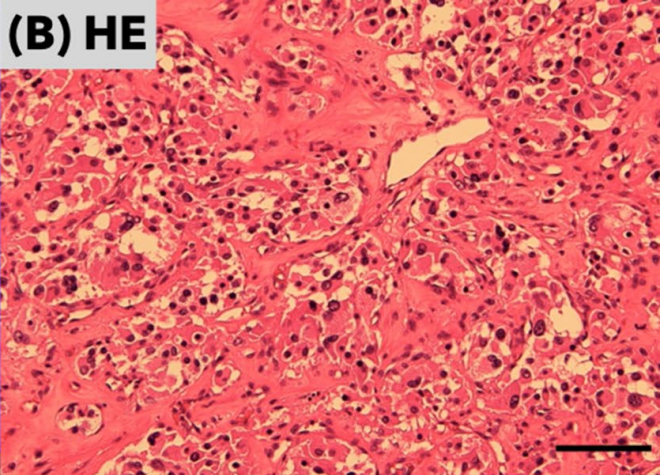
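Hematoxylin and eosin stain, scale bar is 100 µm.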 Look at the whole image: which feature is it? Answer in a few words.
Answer: Nests of cells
